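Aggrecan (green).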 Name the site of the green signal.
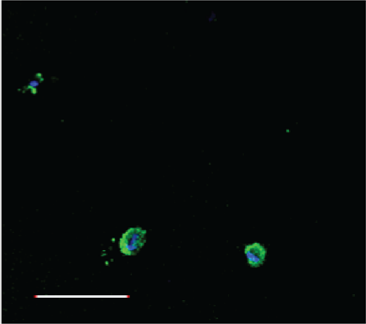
Cytoplasmic region.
